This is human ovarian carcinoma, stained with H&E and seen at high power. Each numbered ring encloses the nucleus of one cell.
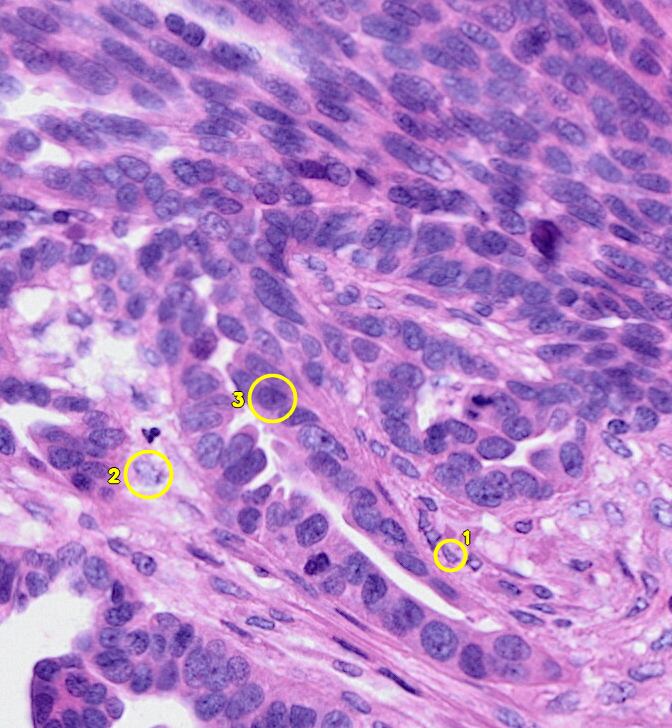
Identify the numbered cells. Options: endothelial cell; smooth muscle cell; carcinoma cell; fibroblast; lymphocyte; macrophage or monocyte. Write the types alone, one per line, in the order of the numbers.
fibroblast
fibroblast
carcinoma cell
